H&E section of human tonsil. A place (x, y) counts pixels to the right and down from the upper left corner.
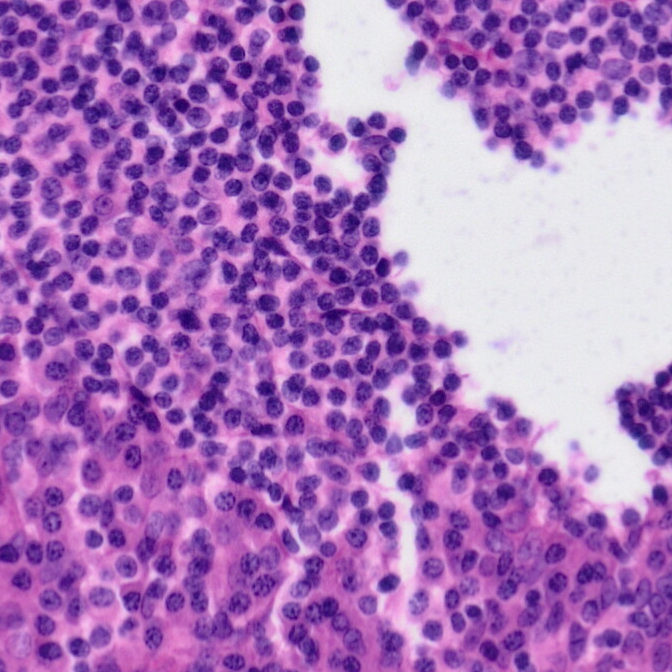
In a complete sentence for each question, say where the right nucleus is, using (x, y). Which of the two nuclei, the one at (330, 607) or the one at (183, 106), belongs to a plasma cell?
The nucleus lying at (330, 607) is the nucleus of a plasma cell.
